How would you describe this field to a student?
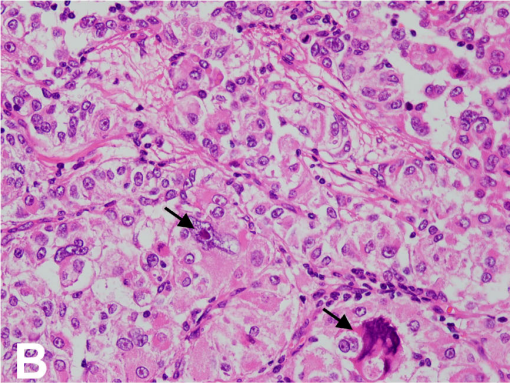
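This high-power view shows tumor cells of epithelioid form, polygonal with abundant pale to pink, somewhat granular cytoplasm. Their nuclei are large and round with a distinct dark nucleolus in many of them. The cells lie in groups bordered by thin strands with small, dark, elongated nuclei. Here and there cells stand out as atypical, most strikingly one large cell with a big, dark, irregular nucleus.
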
